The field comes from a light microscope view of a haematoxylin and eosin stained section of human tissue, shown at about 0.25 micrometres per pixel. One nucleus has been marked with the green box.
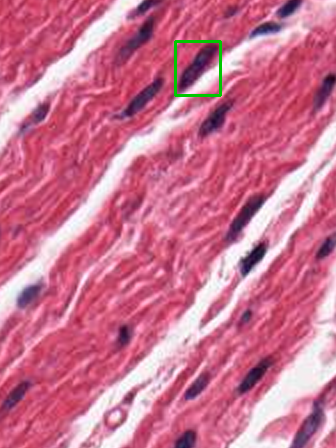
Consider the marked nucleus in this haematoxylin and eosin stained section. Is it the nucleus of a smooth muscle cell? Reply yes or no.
yes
